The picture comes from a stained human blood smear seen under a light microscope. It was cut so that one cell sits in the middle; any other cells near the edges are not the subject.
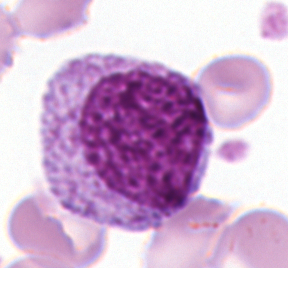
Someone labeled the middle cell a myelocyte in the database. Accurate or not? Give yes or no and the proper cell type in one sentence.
Yes, the crop's central cell is a myelocyte.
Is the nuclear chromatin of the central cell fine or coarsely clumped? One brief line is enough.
The chromatin of this one is coarsely clumped.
